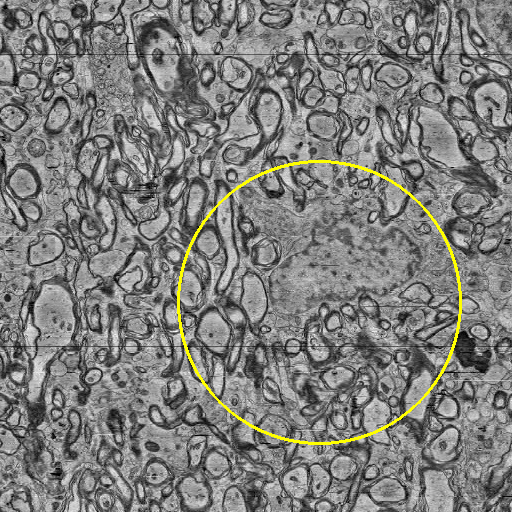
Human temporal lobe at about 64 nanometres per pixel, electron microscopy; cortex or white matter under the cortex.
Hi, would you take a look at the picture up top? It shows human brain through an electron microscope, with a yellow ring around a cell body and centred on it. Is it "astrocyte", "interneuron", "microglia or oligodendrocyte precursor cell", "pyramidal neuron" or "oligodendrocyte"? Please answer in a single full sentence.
The best fit for the cell in the middle of the ring is a microglial cell or oligodendrocyte precursor cell, I reckon.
